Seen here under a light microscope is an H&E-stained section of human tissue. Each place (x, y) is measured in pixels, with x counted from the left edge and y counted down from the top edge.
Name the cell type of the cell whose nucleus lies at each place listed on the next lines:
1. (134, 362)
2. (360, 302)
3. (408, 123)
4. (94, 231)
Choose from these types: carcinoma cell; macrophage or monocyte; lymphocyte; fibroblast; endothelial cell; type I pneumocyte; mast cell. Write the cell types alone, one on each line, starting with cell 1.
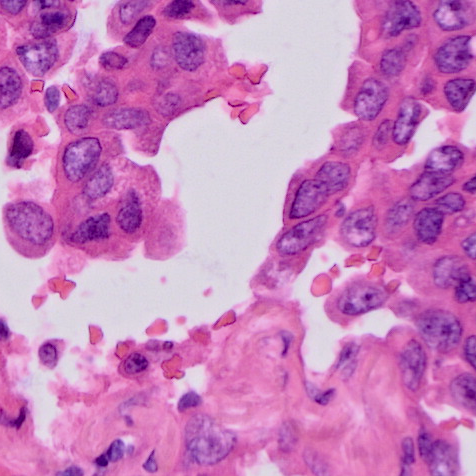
macrophage or monocyte
carcinoma cell
carcinoma cell
carcinoma cell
